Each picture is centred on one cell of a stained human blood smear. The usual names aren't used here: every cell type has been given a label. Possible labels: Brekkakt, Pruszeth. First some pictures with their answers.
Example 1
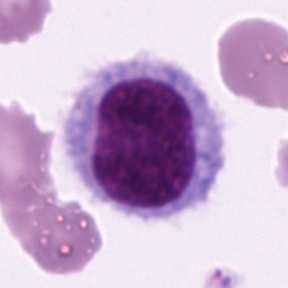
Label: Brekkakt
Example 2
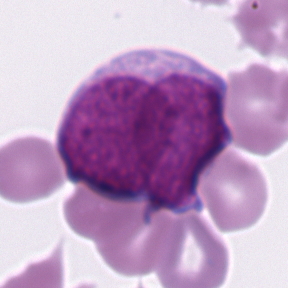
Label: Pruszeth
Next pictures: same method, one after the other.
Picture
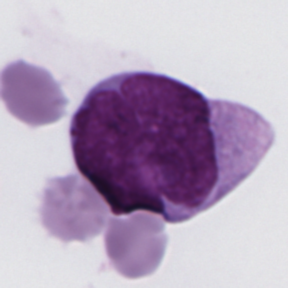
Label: Pruszeth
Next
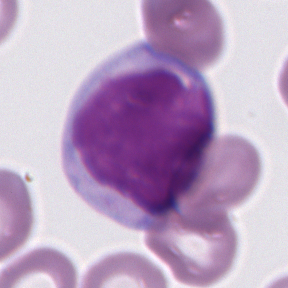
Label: Pruszeth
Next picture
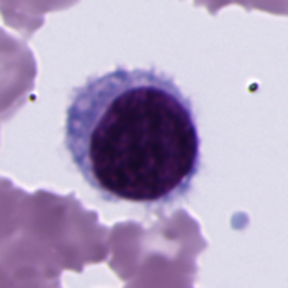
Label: Brekkakt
